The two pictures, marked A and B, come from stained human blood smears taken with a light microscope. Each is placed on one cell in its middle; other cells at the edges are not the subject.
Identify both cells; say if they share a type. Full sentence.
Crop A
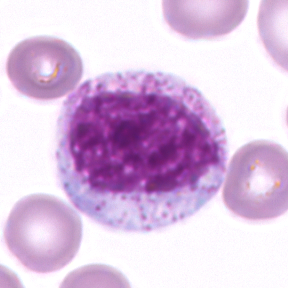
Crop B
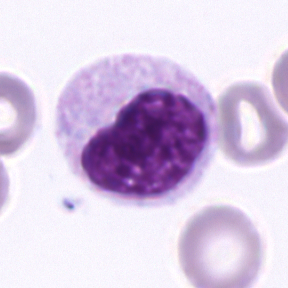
Yes, what both crops show at their centres are metamyelocytes.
